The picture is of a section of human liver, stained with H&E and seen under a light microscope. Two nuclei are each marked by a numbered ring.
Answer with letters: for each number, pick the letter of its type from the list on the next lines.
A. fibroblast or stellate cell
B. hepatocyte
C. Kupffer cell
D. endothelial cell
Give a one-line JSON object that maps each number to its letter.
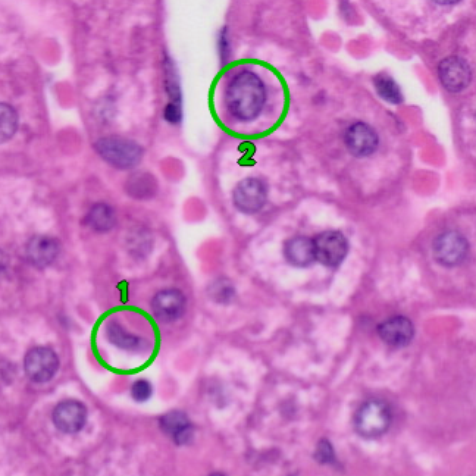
{"1": "C", "2": "B"}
